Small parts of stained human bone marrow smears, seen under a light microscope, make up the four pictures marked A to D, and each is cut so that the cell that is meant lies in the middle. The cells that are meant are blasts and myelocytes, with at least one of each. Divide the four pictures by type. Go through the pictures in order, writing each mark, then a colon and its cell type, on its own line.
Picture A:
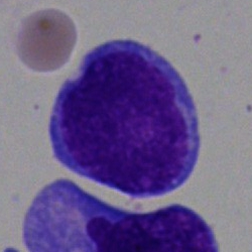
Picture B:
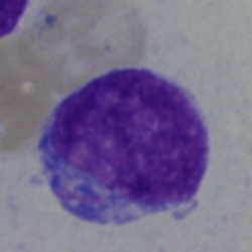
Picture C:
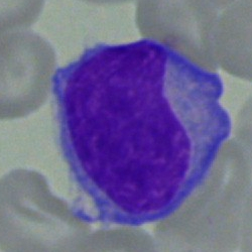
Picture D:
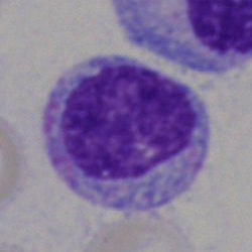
A: blast
B: blast
C: blast
D: myelocyte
